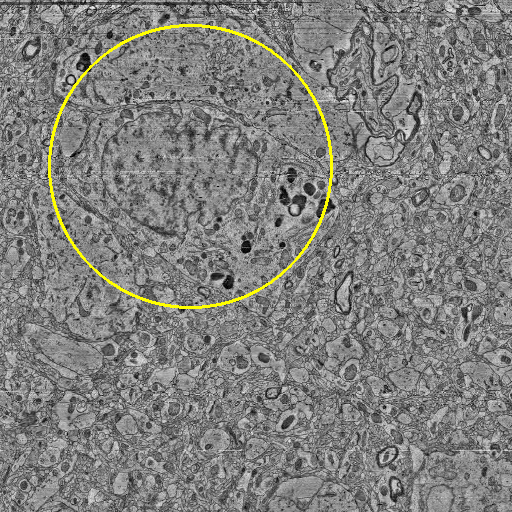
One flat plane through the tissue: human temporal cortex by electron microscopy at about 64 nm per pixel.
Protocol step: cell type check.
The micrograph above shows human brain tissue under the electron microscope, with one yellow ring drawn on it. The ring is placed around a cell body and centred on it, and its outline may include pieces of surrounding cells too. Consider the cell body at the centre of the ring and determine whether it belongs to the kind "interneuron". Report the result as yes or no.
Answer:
yes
